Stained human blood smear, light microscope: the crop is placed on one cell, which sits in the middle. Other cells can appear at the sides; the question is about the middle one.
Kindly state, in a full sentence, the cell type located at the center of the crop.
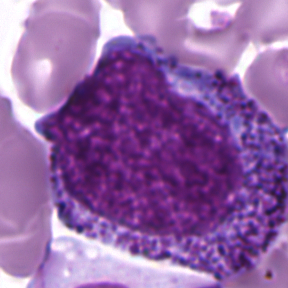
Among the cells in view, the one in the middle is a promyelocyte.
